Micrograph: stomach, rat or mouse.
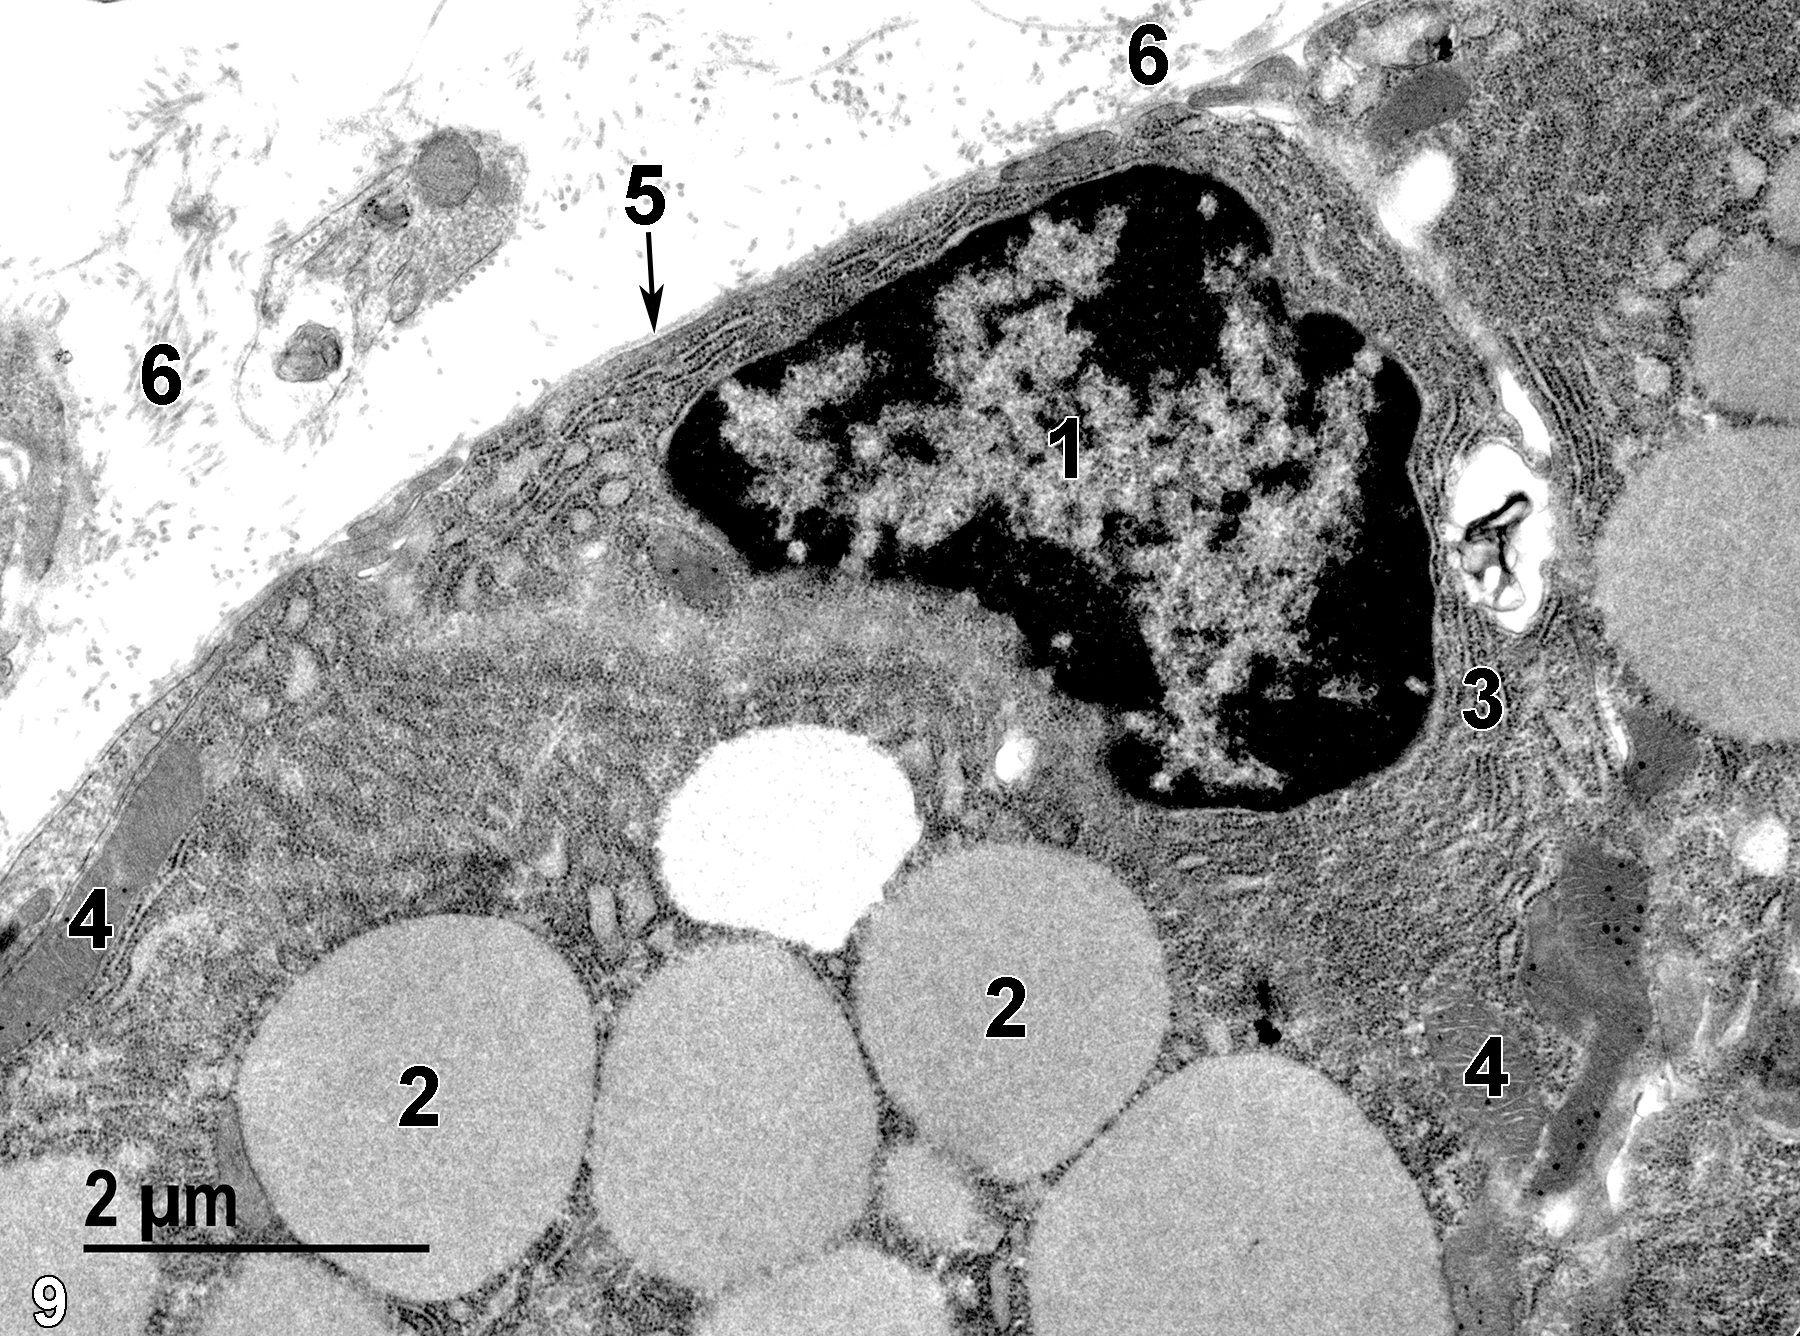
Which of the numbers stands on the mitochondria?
Number 4.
